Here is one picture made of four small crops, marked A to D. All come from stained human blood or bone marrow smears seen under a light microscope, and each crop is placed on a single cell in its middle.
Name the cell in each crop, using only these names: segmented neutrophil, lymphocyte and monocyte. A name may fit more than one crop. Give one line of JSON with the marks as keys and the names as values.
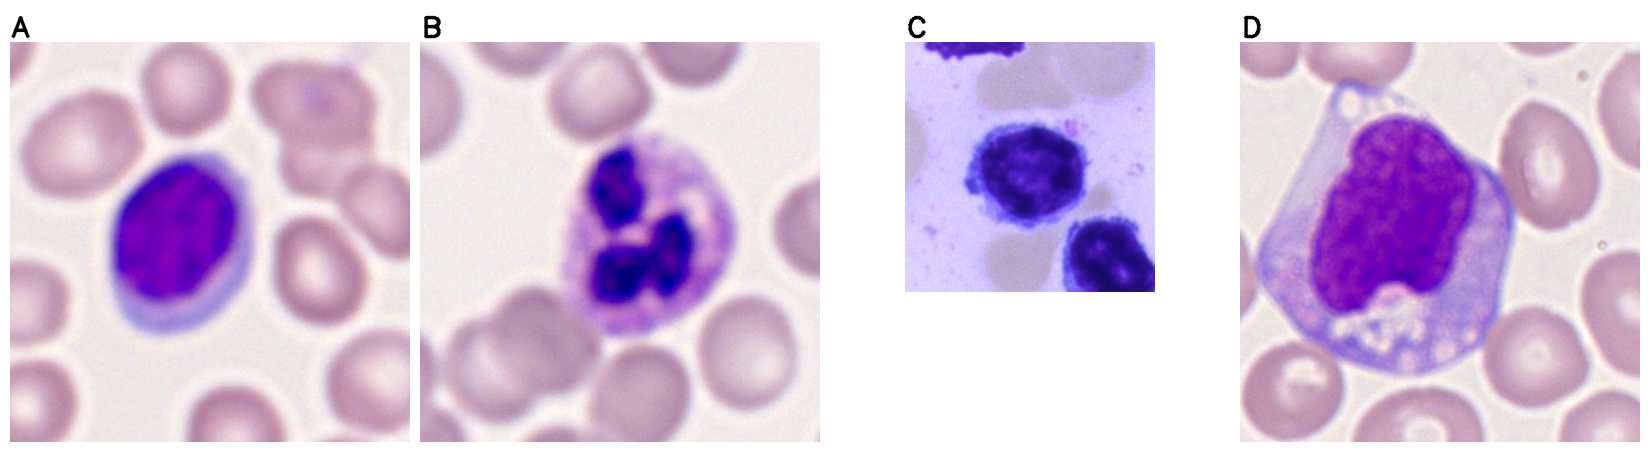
{"A": "lymphocyte", "B": "segmented neutrophil", "C": "lymphocyte", "D": "monocyte"}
